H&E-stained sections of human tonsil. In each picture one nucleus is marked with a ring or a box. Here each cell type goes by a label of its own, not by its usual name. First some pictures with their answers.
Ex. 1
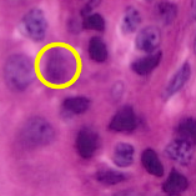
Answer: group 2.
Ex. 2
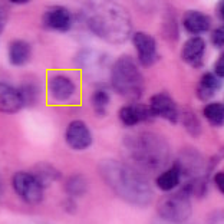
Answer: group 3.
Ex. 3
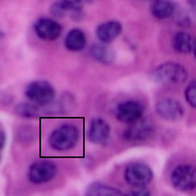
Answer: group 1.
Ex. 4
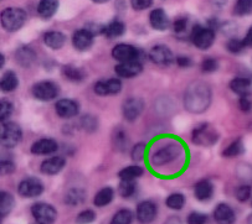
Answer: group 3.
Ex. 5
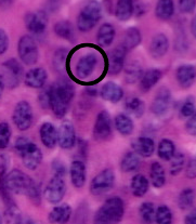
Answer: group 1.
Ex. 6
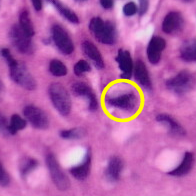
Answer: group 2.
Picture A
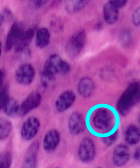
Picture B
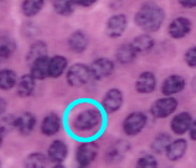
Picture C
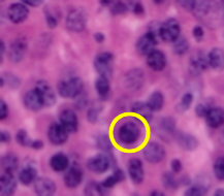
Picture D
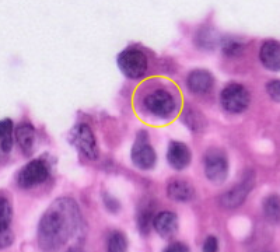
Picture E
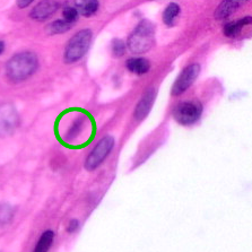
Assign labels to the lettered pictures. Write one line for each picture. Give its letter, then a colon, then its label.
A: group 1.
B: group 1.
C: group 1.
D: group 1.
E: group 2.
